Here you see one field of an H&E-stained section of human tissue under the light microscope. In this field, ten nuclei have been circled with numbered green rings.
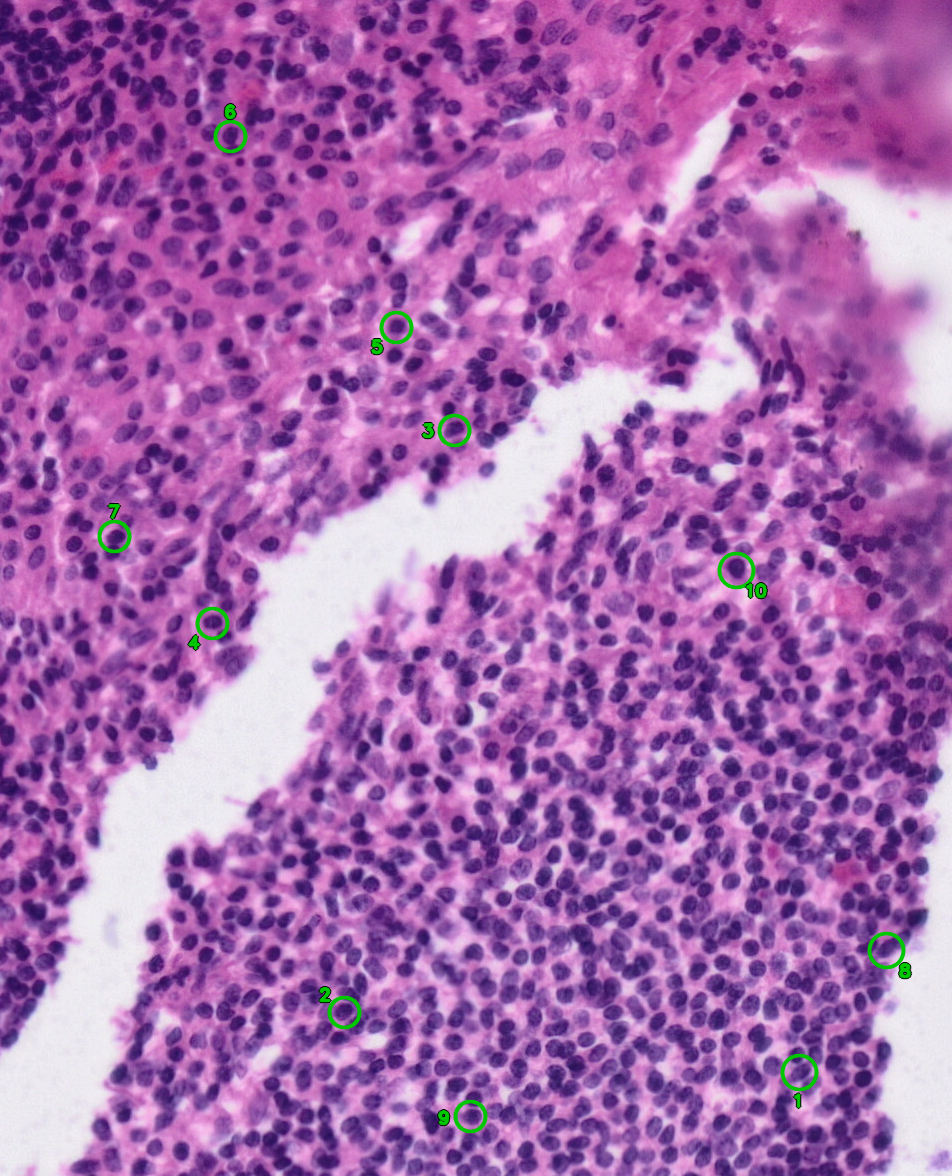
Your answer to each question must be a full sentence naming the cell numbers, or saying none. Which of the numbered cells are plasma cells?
Classified as plasma cells are the cells numbered 3, 4, 5, 6, 7 and 10.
